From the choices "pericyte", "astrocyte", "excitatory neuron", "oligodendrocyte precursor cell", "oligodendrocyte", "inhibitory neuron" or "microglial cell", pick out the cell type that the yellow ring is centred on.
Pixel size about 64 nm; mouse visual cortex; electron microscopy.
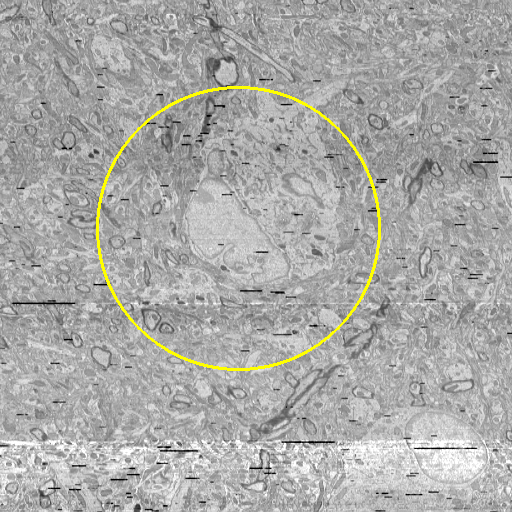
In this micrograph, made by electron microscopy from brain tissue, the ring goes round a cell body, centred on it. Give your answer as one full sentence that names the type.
The yellow ring is centred on an oligodendrocyte precursor cell, whose cell body it encircles in the picture.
